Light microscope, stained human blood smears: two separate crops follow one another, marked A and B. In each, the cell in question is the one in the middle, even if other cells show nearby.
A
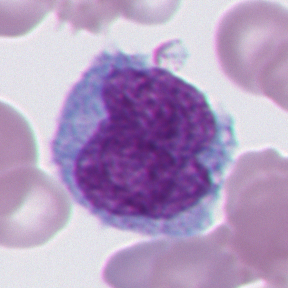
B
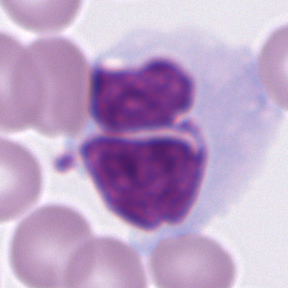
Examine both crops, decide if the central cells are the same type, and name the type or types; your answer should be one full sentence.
Yes, both of the crops show monocytes.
